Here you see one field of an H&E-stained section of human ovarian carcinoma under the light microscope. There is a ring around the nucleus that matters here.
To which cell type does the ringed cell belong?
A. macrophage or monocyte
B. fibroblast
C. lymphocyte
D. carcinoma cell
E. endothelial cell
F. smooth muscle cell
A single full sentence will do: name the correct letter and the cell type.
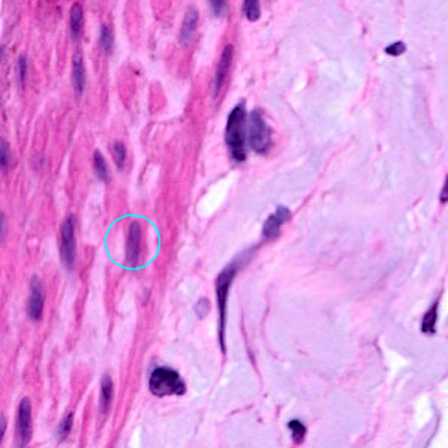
Option F is right in classifying the ringed cell as a smooth muscle cell.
